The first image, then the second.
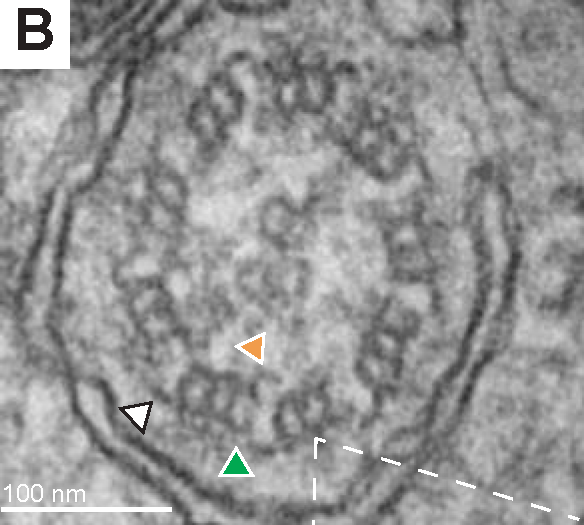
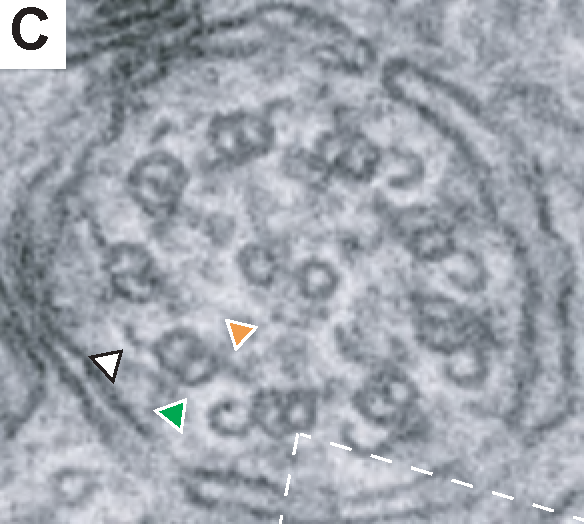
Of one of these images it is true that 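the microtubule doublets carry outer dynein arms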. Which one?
The first image.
